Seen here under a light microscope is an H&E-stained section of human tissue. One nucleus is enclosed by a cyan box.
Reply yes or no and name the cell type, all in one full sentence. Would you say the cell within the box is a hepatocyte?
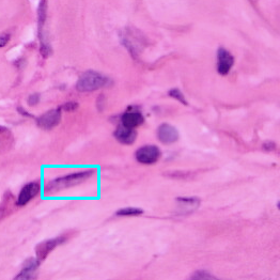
No, the cell within the box is to be classified as a fibroblast rather than a hepatocyte.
